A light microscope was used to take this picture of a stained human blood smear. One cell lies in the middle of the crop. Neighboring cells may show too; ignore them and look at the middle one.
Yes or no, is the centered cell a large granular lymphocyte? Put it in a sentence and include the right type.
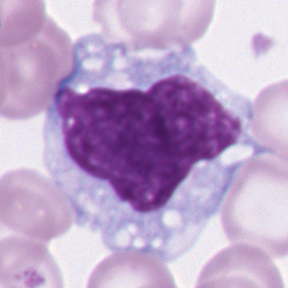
No, what sits in the centre of the crop is a monocyte rather than a large granular lymphocyte.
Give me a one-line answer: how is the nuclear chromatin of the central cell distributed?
The chromatin here is fine and lacks any coarse clumps.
